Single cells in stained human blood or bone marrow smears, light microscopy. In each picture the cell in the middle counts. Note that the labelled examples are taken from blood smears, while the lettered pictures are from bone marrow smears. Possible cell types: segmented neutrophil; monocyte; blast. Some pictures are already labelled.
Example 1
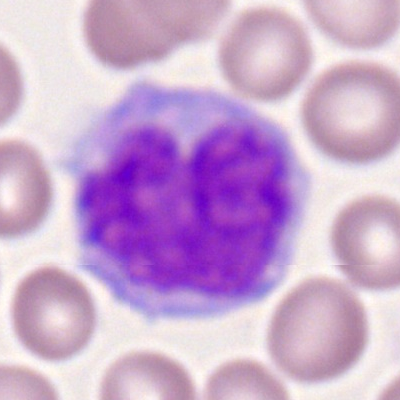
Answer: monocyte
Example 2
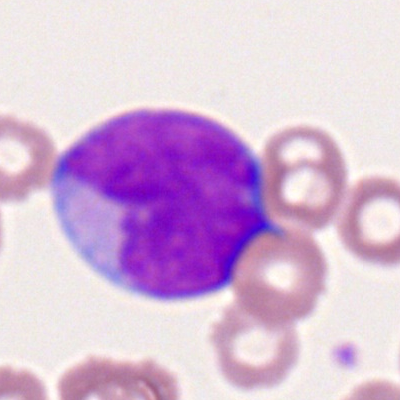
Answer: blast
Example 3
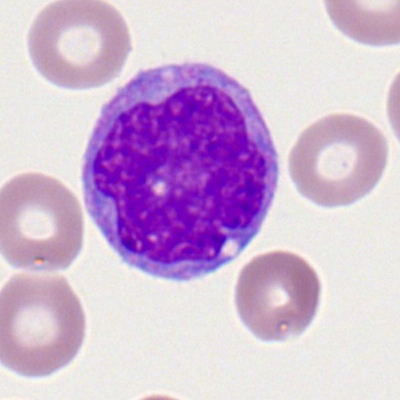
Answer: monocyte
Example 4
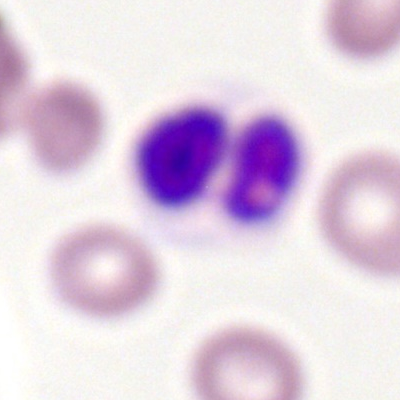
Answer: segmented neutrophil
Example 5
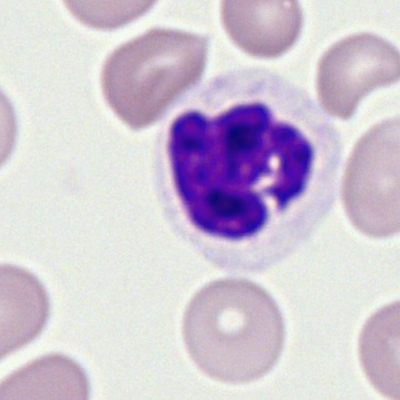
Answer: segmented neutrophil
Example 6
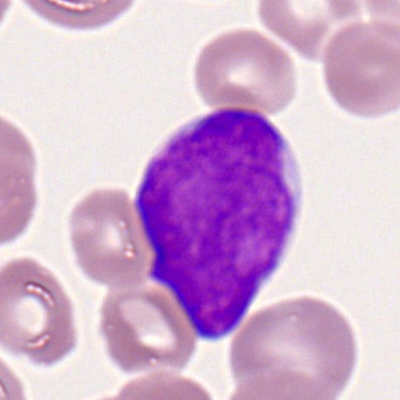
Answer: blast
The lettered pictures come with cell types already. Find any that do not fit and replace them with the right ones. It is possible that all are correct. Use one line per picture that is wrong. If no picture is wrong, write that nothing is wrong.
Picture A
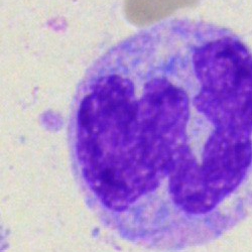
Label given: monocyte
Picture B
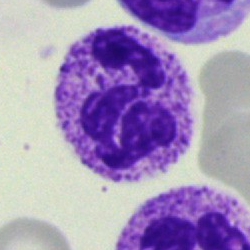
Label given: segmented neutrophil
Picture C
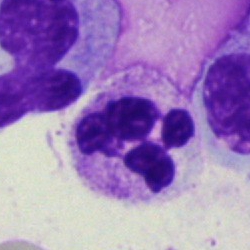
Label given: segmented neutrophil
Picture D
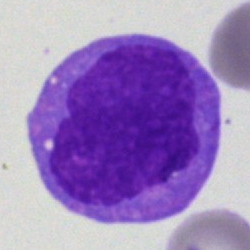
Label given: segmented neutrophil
Wrong: D (segmented neutrophil); correct: blast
